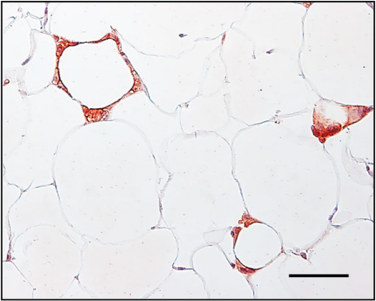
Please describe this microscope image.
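Adipose tissue with macrophages among the fat cells. Fat cells appear as large, clear, rounded to polygonal spaces of varying size, divided by thin membranes with few flattened peripheral nuclei. Red-stained cells are few and grouped at a small number of sites. At these sites the red cells encircle small fat cell profiles or fill the wedge where several fat cells meet. Most of the septa between fat cells carry no red stain.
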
